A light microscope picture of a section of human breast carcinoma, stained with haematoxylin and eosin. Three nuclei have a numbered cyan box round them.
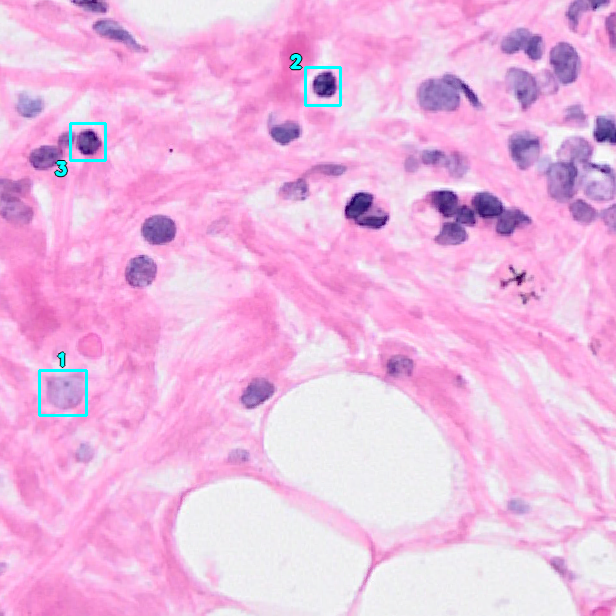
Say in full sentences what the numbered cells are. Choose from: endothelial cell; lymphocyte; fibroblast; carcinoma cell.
Cell 1 is a fibroblast. Cells 2 and 3 are lymphocytes.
